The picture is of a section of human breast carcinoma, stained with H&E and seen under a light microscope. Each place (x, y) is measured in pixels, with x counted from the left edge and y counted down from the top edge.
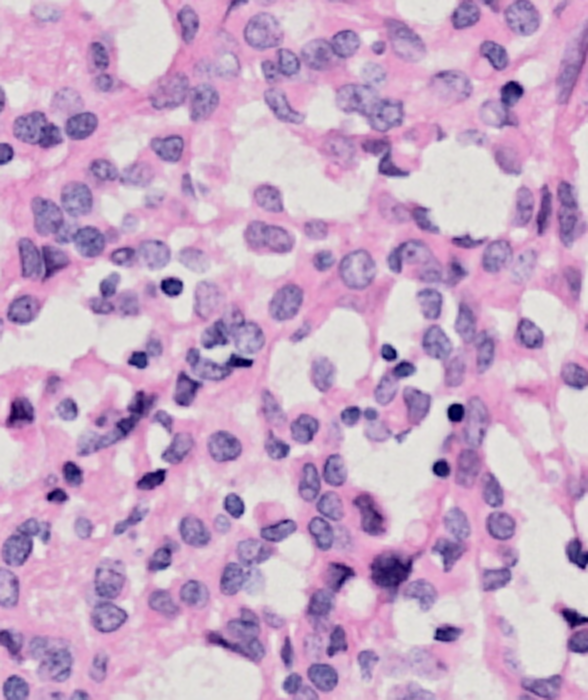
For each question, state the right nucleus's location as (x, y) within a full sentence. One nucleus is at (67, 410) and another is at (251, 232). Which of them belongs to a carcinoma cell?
So, of the two, the nucleus at (251, 232) is the one belonging to a carcinoma cell.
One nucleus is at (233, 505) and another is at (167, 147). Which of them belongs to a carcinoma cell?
Identified as belonging to a carcinoma cell is the nucleus at (167, 147).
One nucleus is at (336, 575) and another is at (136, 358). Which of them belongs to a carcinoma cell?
Only the nucleus at (336, 575), of the two, belongs to a carcinoma cell.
